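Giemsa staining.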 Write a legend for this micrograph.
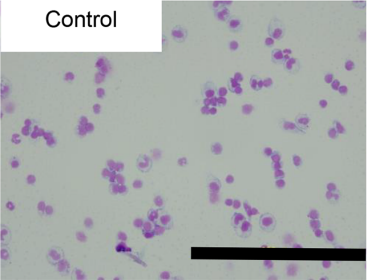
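Most are small, uniform and stained pinkish purple with a compact round nucleus. Scattered among them are larger cells with pale, greyish cytoplasm and a distinct rounded nucleus, and cells with lobed nuclei are rare.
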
